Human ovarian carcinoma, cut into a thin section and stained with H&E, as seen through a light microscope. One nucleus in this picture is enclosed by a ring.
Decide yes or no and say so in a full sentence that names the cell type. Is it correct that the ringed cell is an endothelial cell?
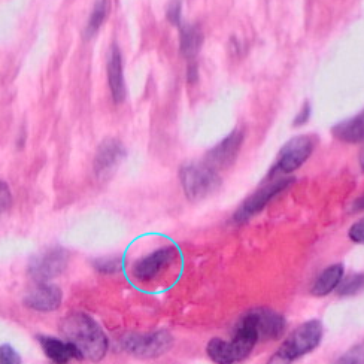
Yes, the ringed cell is to be classified as an endothelial cell.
